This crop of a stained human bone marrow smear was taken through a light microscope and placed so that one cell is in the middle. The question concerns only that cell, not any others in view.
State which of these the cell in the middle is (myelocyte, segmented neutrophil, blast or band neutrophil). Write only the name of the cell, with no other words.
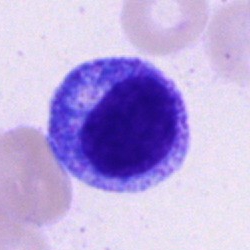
myelocyte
